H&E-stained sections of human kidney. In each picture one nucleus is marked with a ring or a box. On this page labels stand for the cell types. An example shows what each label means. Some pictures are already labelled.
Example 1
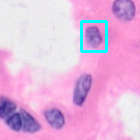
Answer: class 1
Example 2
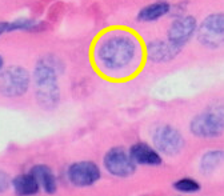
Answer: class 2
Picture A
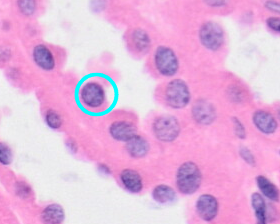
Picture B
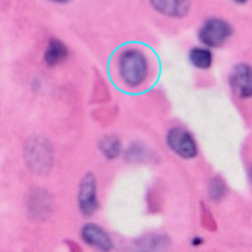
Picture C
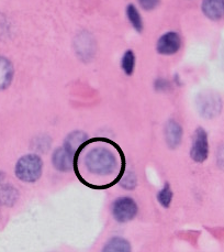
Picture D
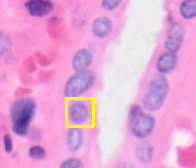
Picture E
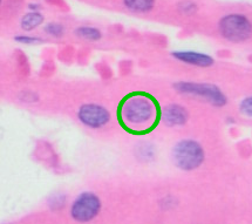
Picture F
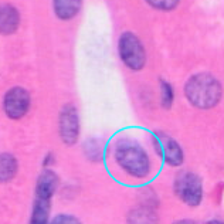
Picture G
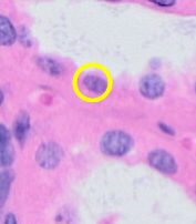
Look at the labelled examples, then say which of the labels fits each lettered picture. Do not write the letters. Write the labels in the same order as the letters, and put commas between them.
class 1, class 1, class 2, class 2, class 1, class 2, class 1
